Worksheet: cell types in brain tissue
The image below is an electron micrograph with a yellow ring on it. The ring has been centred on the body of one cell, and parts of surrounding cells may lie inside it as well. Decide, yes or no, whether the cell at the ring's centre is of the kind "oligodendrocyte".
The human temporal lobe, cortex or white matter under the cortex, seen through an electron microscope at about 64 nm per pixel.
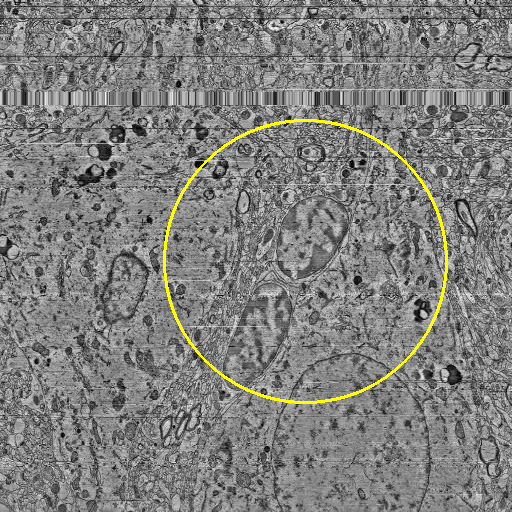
no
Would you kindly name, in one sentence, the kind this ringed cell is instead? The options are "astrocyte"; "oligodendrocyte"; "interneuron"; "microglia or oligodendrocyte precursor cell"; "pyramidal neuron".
Instead, the ring in this picture marks a microglial cell or oligodendrocyte precursor cell.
